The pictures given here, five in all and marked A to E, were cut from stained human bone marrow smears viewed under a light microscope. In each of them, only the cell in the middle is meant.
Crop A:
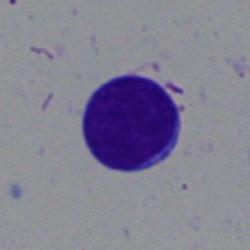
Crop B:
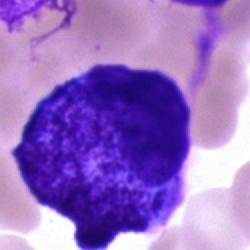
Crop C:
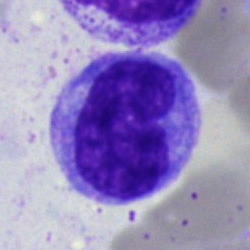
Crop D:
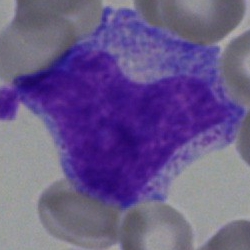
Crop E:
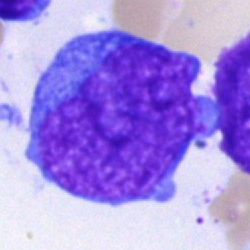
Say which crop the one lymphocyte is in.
A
